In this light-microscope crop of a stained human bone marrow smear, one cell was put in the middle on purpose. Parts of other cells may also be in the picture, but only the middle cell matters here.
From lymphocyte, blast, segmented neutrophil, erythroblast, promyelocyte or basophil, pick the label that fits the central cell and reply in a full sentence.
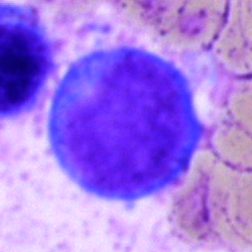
The cell featured at the centre of this crop is a blast.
